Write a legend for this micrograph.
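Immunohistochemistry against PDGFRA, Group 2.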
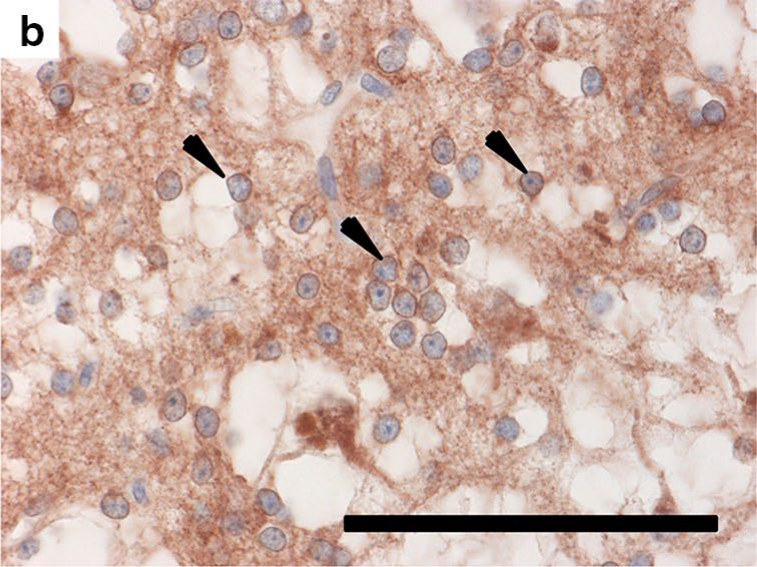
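Tumour tissue densely populated by tumour cells with round to oval nuclei. The nuclei are blue, fairly uniform, with fine chromatin and small nucleoli, and they lie crowded, sometimes in small clusters. Many nuclei are outlined by a thin brown rim. The tissue between the cells is a brown, finely granular and fibrillary meshwork. Numerous clear, empty spaces of varying size give the tissue a vacuolated, loose texture. A few elongated, paler nuclei are scattered among the round ones. One irregular, denser brown deposit lies in the lower middle of the field.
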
